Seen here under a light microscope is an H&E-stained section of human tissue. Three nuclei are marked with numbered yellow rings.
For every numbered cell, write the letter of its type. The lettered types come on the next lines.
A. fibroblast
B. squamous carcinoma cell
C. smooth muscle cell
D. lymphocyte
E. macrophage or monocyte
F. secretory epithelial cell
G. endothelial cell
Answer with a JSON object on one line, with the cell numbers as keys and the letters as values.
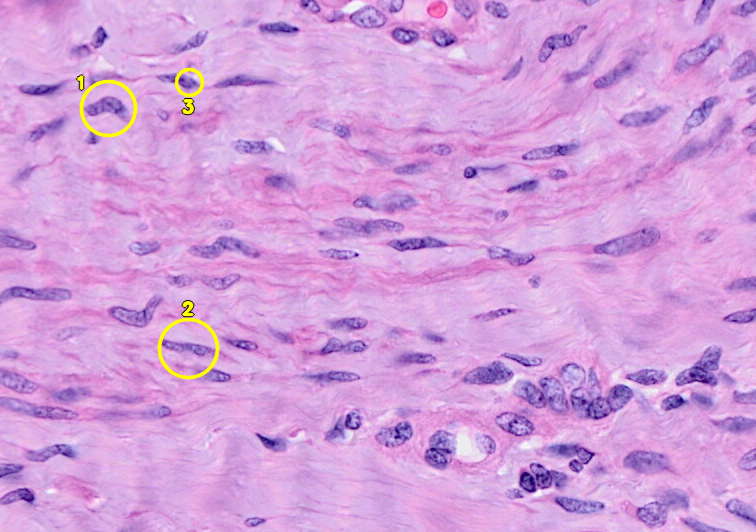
{"1": "A", "2": "C", "3": "A"}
